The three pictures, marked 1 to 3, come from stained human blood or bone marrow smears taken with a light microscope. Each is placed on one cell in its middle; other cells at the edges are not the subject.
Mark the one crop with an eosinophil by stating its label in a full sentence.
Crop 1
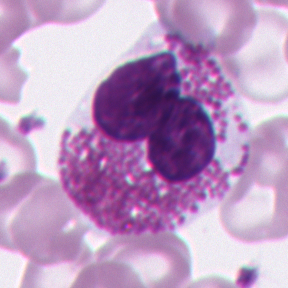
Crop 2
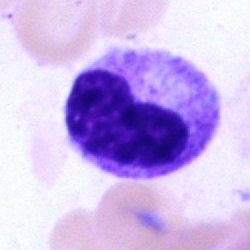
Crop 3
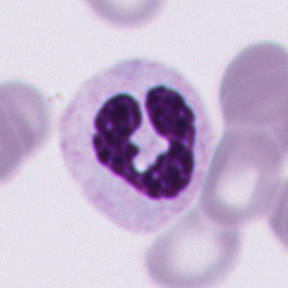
The sole crop showing an eosinophil is crop 1.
